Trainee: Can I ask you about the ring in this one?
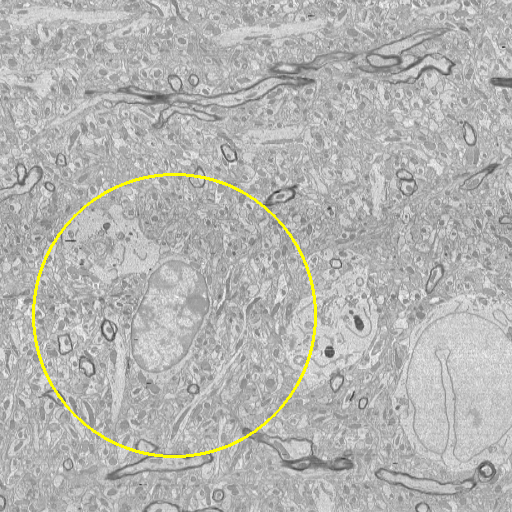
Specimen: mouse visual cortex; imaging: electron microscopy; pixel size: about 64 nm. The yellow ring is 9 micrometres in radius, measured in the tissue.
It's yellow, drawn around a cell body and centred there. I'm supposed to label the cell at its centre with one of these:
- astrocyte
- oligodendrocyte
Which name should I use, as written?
oligodendrocyte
